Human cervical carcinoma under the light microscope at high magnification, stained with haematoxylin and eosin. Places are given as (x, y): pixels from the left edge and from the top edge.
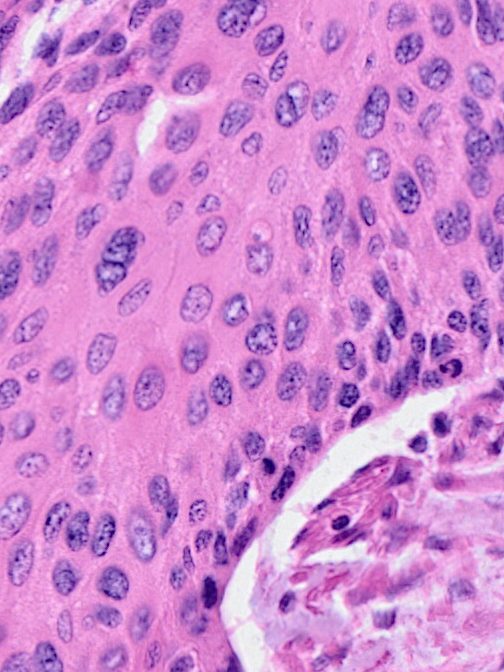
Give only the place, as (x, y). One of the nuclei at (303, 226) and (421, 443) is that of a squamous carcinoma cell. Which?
(303, 226)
